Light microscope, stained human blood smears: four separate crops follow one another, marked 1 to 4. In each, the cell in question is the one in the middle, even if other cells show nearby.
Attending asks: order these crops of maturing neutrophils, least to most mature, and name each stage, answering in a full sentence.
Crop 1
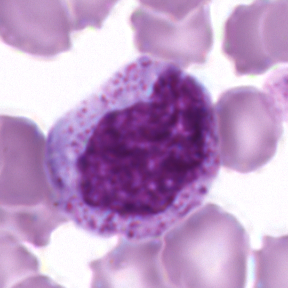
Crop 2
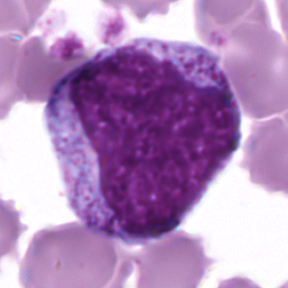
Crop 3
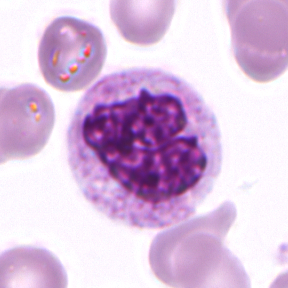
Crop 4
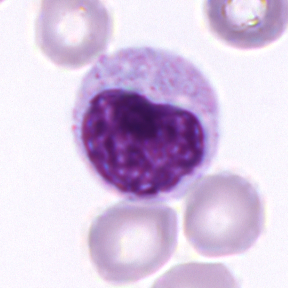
The proper maturity order, starting from the least mature, is crop 2 (a promyelocyte), crop 1 (a myelocyte), crop 4 (a metamyelocyte) and crop 3 (a band neutrophil).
